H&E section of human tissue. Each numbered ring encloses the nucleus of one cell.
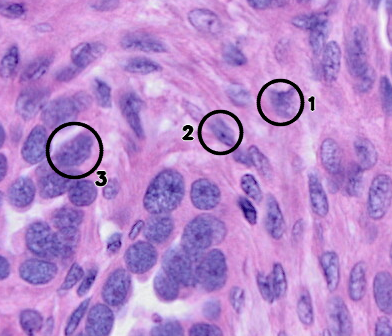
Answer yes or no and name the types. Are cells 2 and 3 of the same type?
No, cell 2 is a fibroblast and cell 3 is a carcinoma cell.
